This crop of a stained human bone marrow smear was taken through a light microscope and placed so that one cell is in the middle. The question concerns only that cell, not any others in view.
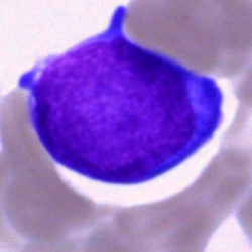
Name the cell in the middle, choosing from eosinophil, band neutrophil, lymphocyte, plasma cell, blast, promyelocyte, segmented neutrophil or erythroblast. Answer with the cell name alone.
blast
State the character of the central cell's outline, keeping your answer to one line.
Rather than running smoothly, the cell border is ragged or carries projections.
